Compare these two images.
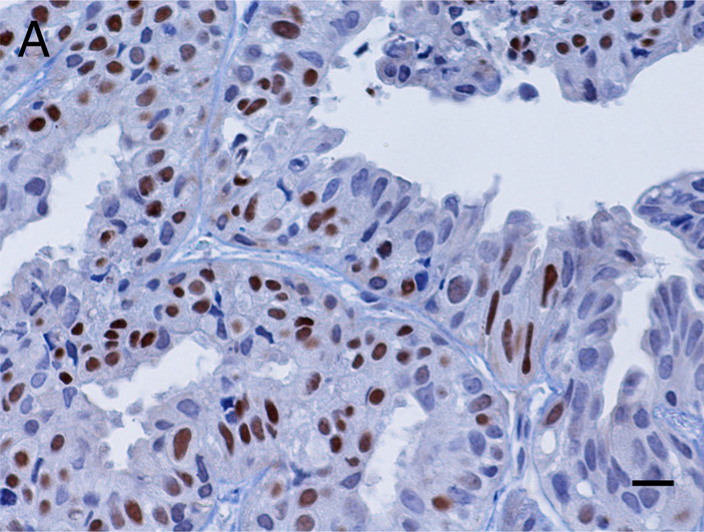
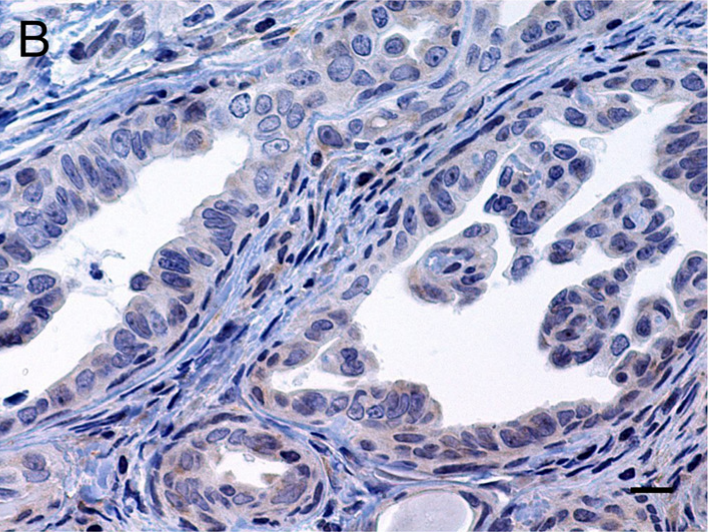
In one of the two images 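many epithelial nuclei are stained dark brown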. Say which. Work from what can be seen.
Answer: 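Second image: epithelial nuclei are all blue, with only faint brownish cytoplasm. First image: numerous epithelial nuclei are dark brown among blue ones.
Answer: the first image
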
